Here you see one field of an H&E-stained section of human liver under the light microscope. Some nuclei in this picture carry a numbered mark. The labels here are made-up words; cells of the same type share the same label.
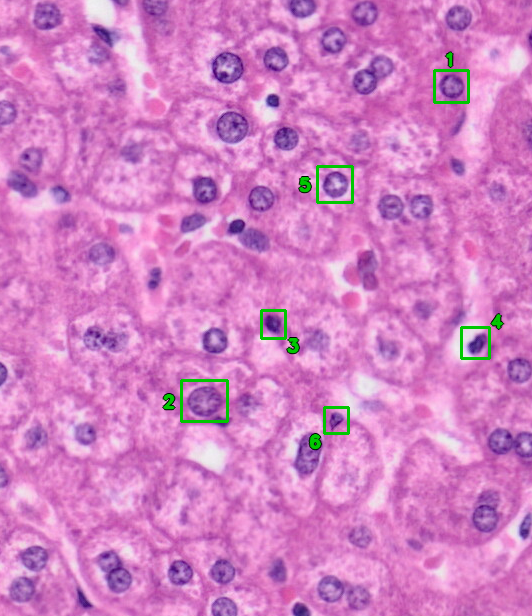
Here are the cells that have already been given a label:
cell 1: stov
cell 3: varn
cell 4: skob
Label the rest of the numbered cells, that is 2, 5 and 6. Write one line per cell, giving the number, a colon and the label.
2: stov
5: stov
6: varn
